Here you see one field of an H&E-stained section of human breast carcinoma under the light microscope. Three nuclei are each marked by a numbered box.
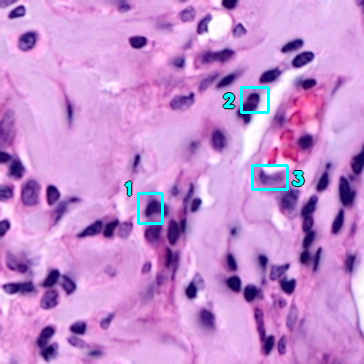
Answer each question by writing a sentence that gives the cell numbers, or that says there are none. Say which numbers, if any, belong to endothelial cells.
Cell 3 is an endothelial cell, which is true of none of the other numbered cells.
